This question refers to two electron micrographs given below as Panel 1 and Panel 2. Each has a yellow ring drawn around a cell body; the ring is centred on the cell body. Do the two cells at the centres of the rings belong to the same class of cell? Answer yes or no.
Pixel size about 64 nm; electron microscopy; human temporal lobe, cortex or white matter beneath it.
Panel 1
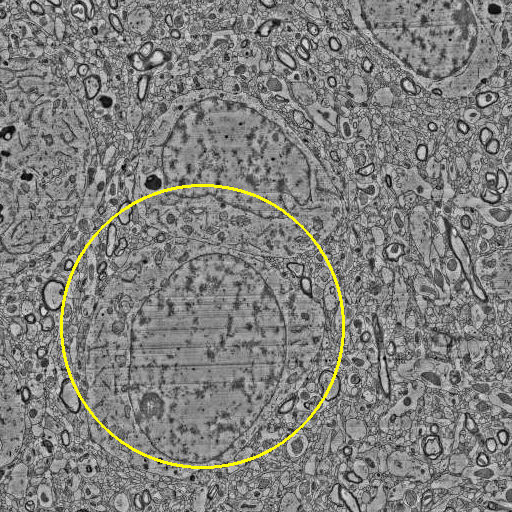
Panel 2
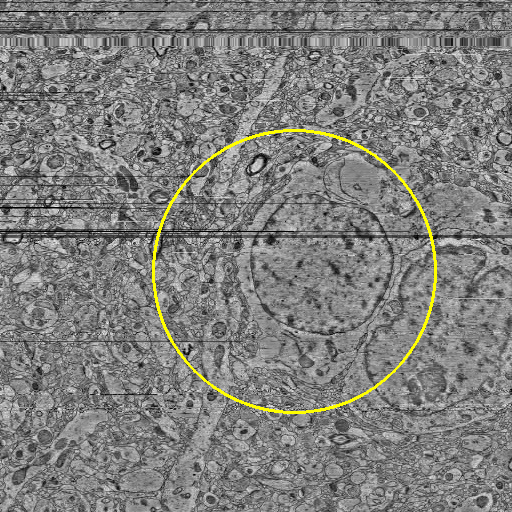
no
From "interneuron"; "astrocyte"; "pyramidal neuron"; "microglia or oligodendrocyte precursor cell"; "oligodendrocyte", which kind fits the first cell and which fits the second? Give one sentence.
The cell marked in the first picture is a pyramidal neuron, and the one marked in the second is an astrocyte.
